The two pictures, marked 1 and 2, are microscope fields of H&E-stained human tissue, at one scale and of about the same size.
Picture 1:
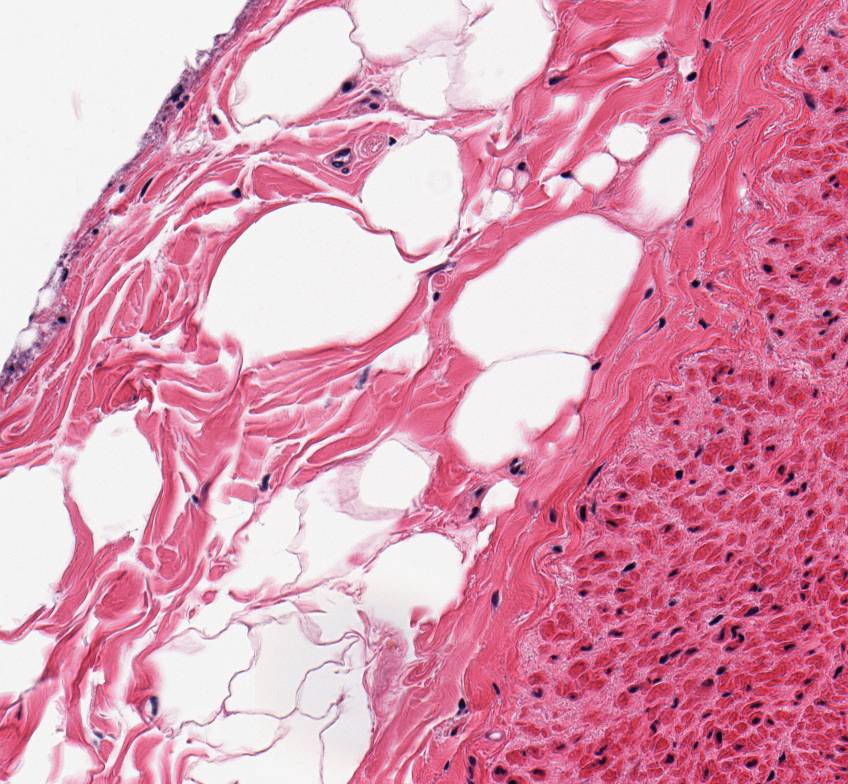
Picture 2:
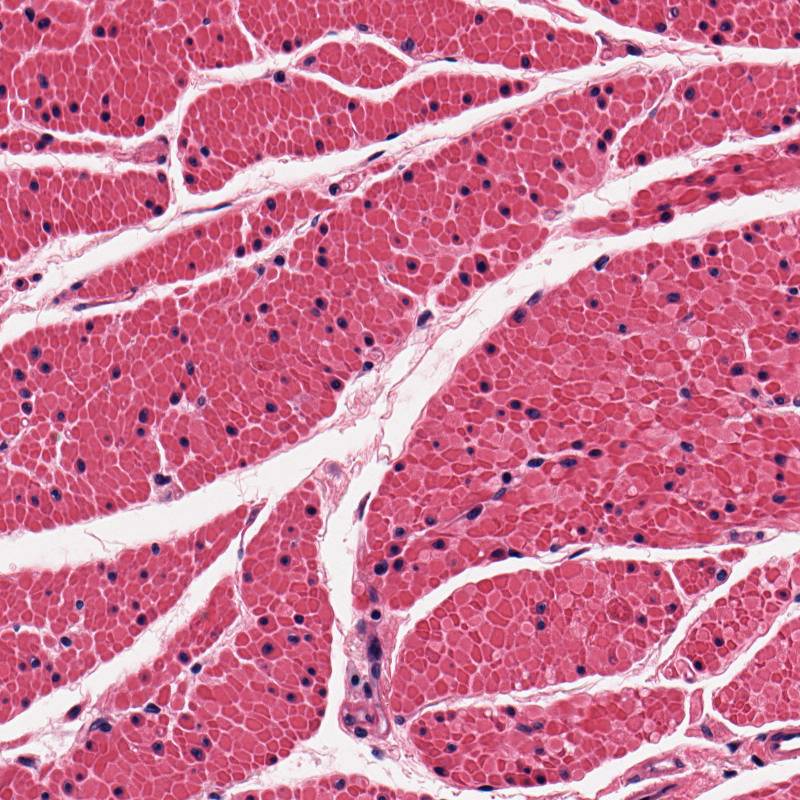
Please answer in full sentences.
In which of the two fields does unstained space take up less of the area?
Unstained space takes up less of picture 2 than of picture 1.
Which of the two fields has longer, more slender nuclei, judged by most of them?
It is picture 1 whose nuclei are the more elongated.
